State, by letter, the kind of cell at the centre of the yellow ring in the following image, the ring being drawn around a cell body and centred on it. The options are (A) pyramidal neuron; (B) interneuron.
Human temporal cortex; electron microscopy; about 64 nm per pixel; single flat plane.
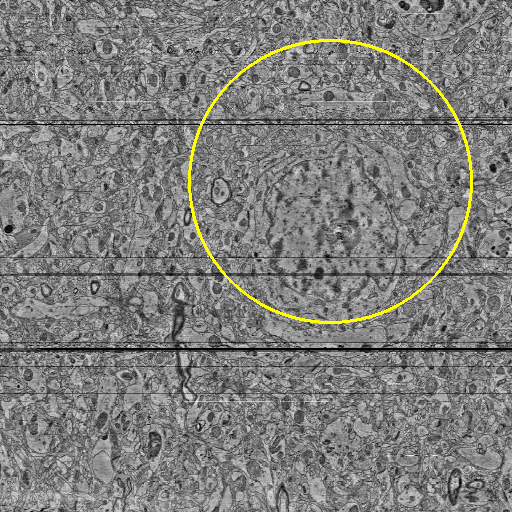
B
